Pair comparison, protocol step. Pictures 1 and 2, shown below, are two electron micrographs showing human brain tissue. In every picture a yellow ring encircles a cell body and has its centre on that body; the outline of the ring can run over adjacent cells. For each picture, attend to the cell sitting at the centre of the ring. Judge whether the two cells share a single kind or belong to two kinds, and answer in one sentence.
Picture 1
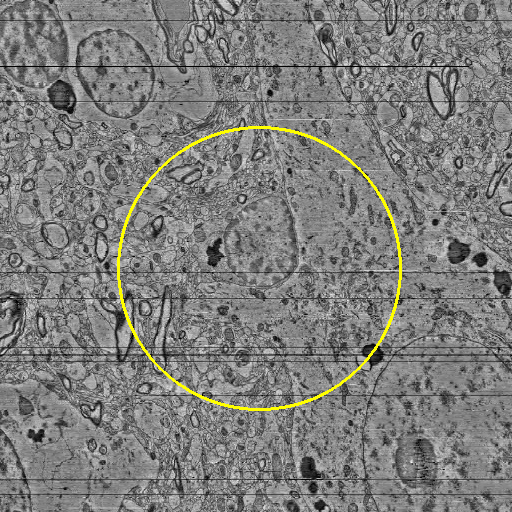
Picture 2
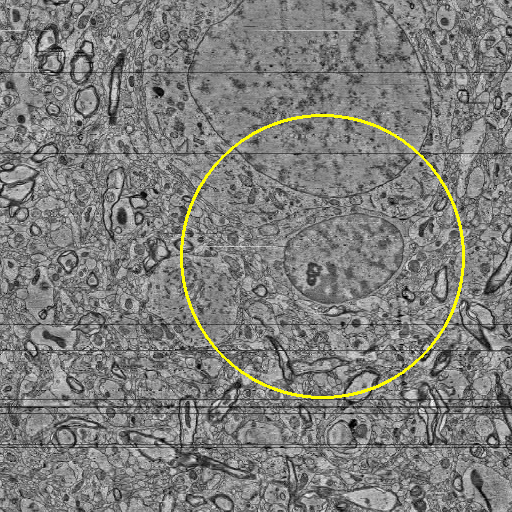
The two cells at the ring centres in Picture 1 and Picture 2 share a single kind.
